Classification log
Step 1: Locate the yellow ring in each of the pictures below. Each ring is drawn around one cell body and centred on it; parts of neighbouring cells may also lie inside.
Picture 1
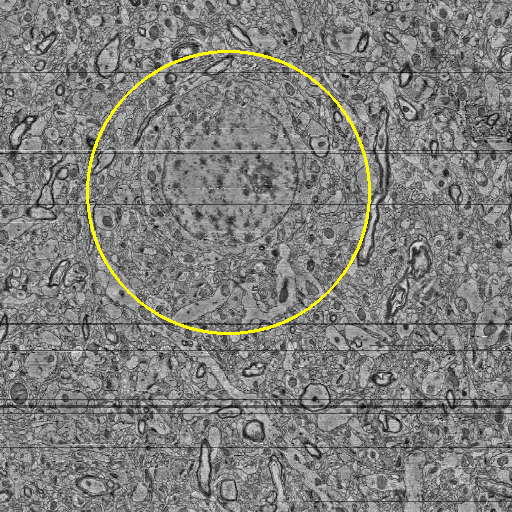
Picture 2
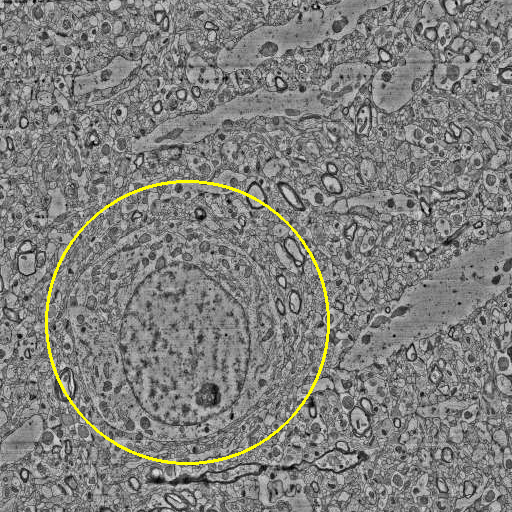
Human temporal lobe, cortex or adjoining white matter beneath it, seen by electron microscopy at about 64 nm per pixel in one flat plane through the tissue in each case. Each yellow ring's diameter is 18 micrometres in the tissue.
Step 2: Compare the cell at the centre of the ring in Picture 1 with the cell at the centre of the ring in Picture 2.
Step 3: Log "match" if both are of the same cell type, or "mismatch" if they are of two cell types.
match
